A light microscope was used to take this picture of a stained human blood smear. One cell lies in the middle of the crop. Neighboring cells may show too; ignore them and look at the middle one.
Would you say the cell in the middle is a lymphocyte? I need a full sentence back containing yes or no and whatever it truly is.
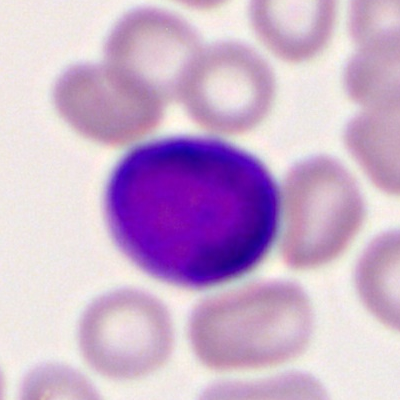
No, the central cell does not represent a lymphocyte, but a myeloblast.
